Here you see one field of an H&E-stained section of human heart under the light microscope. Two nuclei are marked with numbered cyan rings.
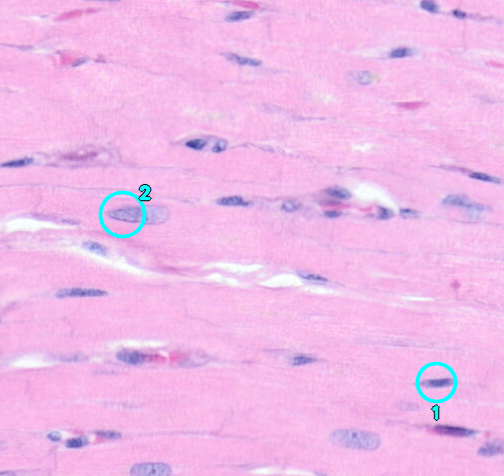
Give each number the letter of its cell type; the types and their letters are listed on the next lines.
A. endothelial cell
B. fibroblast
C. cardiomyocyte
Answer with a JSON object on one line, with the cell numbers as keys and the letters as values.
{"1": "A", "2": "C"}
